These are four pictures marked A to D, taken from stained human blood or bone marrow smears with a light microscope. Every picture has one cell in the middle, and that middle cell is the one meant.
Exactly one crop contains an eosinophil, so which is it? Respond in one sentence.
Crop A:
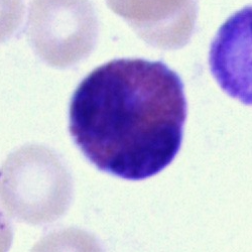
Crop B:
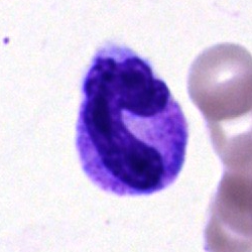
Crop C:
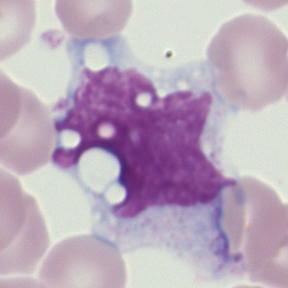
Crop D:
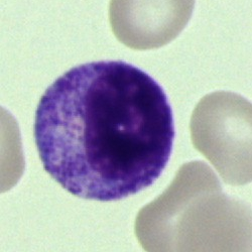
Only in crop A is an eosinophil shown.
